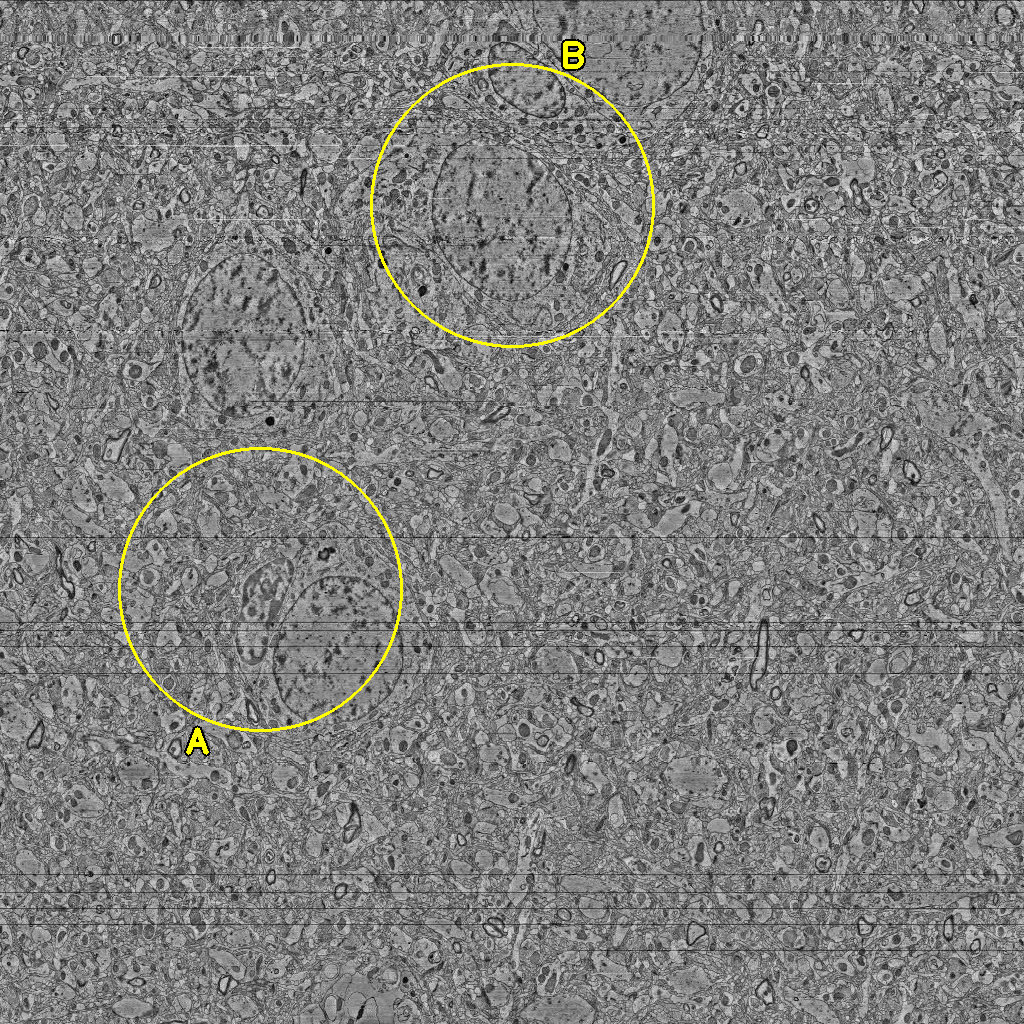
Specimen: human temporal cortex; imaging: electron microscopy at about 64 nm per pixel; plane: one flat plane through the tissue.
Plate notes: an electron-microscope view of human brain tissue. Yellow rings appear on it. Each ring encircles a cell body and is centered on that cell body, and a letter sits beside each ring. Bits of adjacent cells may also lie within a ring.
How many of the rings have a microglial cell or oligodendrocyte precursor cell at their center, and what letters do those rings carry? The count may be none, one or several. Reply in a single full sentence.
Of the rings in the micrograph, a single one is centred on a microglial cell or oligodendrocyte precursor cell, and it shows A.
